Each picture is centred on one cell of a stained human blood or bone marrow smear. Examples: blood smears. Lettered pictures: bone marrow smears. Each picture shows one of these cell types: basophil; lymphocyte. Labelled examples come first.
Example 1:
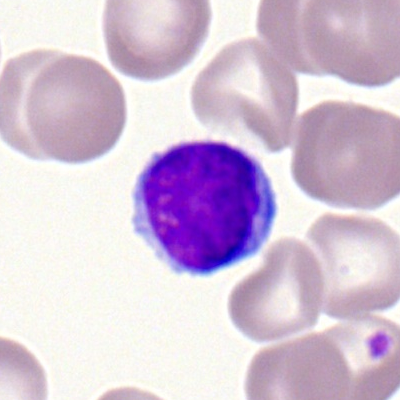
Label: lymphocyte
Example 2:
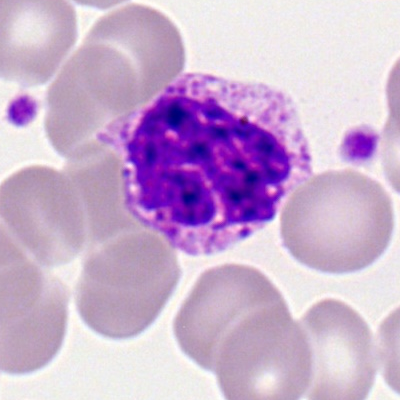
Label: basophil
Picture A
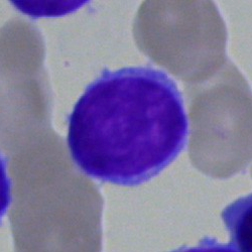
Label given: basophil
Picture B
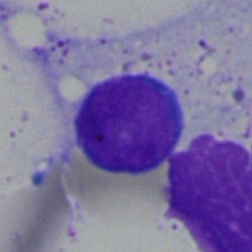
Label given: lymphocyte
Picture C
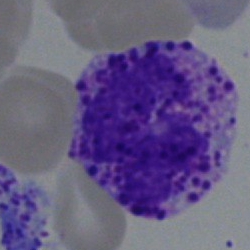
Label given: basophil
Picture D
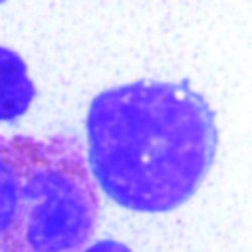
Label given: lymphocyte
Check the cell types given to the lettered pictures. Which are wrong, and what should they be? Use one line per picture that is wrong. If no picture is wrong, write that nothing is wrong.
A: lymphocyte, not basophil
